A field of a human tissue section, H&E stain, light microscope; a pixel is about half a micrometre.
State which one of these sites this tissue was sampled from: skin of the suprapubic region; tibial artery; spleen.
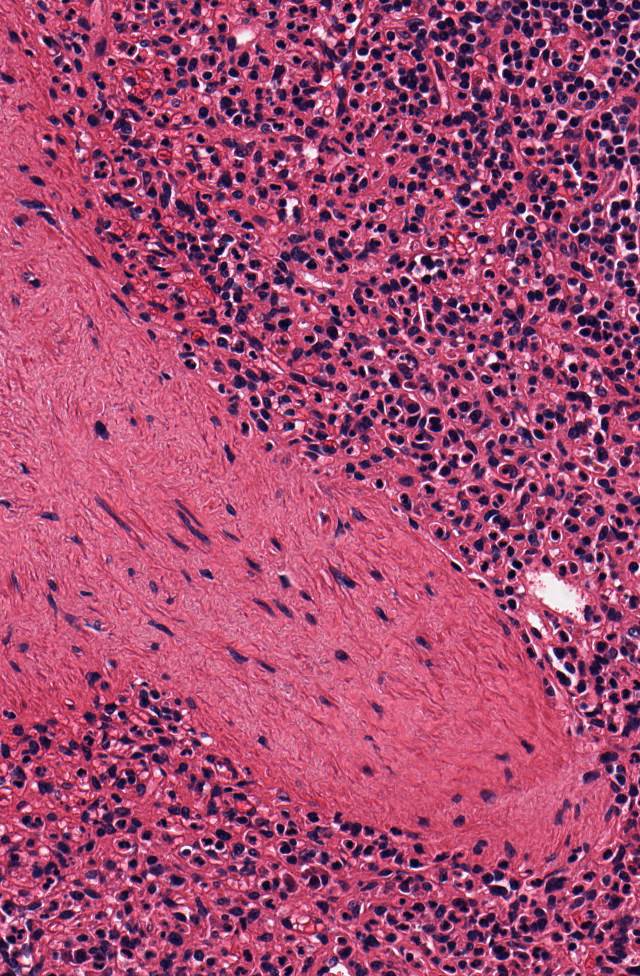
spleen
